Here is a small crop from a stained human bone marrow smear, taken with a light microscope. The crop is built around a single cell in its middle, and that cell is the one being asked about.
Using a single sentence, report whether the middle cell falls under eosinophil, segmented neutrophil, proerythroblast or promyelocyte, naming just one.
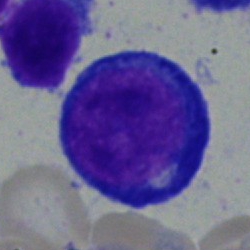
In the centre of this crop there is a proerythroblast.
